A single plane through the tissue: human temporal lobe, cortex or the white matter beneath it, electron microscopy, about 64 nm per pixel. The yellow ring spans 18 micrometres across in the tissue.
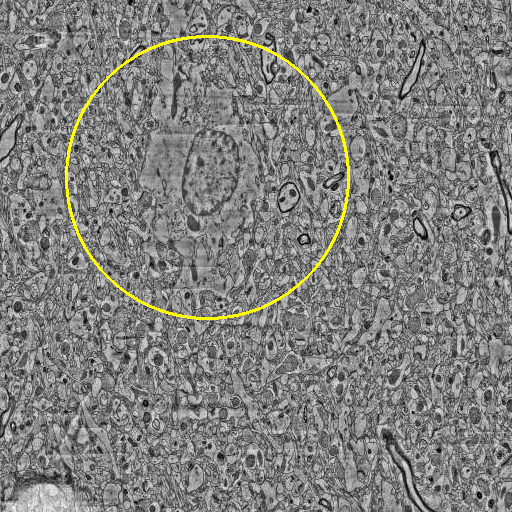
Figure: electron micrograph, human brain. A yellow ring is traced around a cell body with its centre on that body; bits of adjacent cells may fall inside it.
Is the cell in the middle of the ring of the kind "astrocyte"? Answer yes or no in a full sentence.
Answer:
Yes, that kind applies to the cell centred within the yellow ring of the picture.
